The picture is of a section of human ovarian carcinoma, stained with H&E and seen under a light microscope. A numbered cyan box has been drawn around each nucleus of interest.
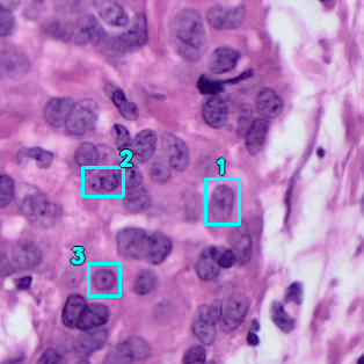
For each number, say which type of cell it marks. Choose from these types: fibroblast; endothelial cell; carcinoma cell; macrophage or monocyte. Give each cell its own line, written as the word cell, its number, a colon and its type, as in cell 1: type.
cell 1: macrophage or monocyte
cell 2: carcinoma cell
cell 3: carcinoma cell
